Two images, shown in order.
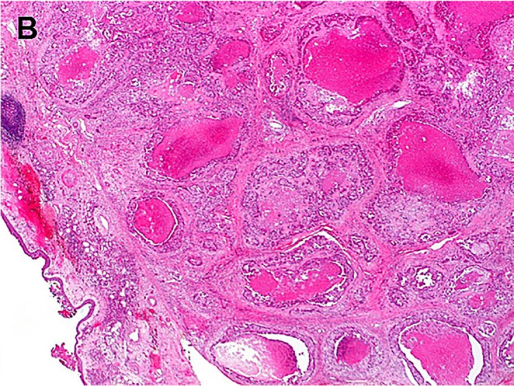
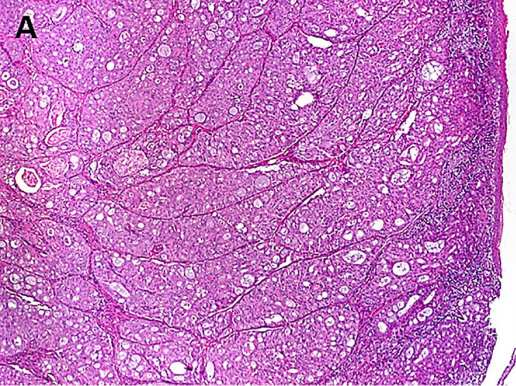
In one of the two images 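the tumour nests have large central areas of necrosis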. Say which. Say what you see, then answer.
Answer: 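The first image. First image: large rounded nests with bright pink necrotic centres. Second image: diffuse sheets with small punched-out spaces and no large pink necrotic centres.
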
